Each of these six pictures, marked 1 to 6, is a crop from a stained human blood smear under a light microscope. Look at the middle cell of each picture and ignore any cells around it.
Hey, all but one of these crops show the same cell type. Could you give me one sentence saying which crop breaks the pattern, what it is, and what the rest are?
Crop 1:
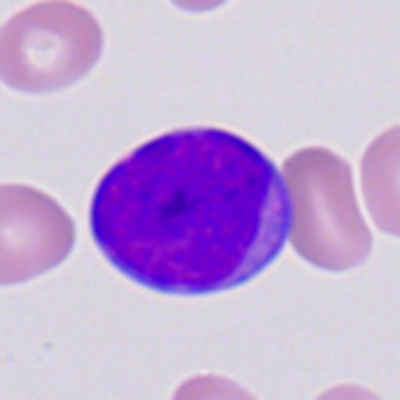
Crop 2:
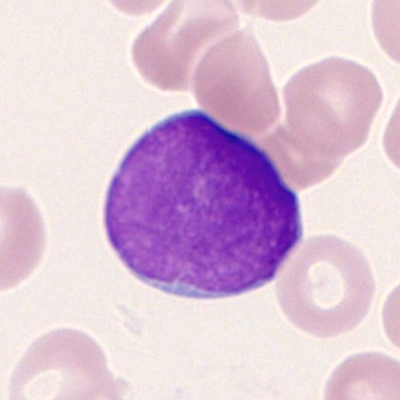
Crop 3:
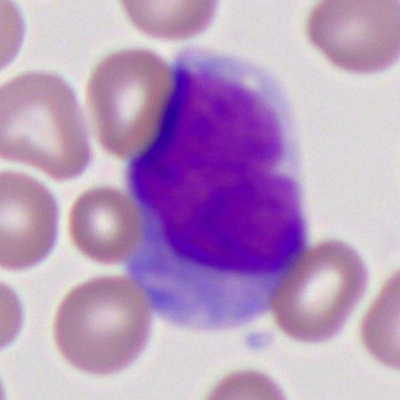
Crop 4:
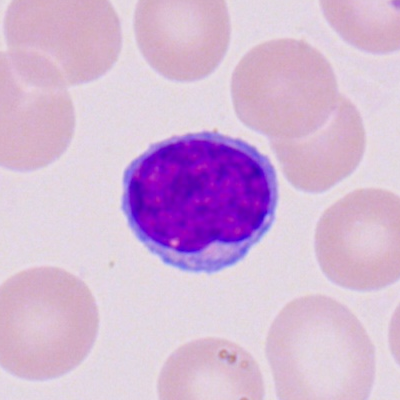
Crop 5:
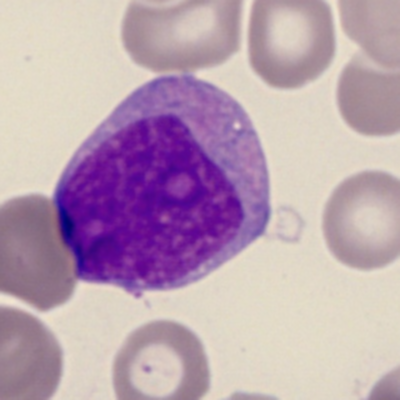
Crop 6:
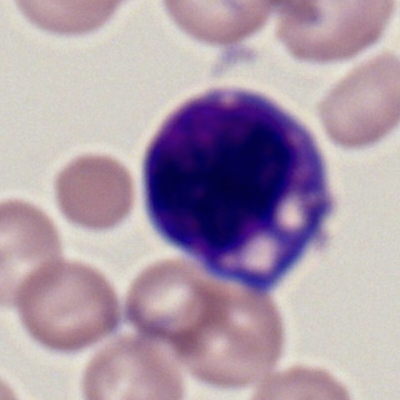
In this set the other crops all show myeloblasts, and crop 4 shows a lymphocyte.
